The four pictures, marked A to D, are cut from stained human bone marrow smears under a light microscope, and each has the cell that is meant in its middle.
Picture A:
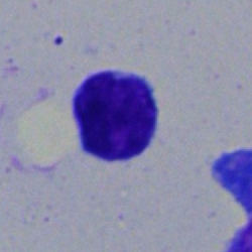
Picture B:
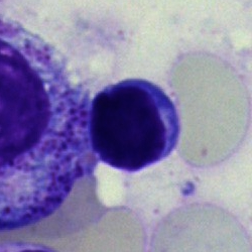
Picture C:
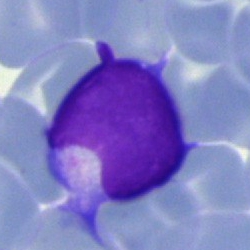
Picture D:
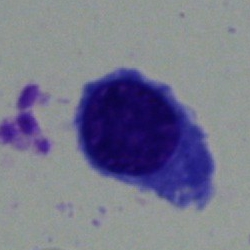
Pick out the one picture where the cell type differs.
D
